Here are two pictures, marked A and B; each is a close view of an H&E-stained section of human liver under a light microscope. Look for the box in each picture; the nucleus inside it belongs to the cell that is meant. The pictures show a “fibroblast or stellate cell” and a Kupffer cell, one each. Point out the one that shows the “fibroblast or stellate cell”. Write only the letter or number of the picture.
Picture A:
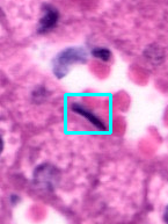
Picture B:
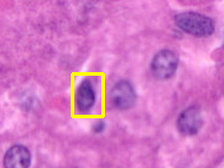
A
